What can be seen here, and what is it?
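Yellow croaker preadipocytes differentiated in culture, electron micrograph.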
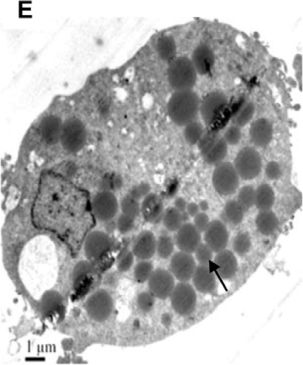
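The nucleus lies off to one side, outlined by a dark envelope with darker clumped chromatin inside. Around it, numerous round, homogeneous grey droplets of different sizes fill much of the cytoplasm, some lying close together in groups. A few pale vacuole-like spaces and dark streaks also lie in the cytoplasm.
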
